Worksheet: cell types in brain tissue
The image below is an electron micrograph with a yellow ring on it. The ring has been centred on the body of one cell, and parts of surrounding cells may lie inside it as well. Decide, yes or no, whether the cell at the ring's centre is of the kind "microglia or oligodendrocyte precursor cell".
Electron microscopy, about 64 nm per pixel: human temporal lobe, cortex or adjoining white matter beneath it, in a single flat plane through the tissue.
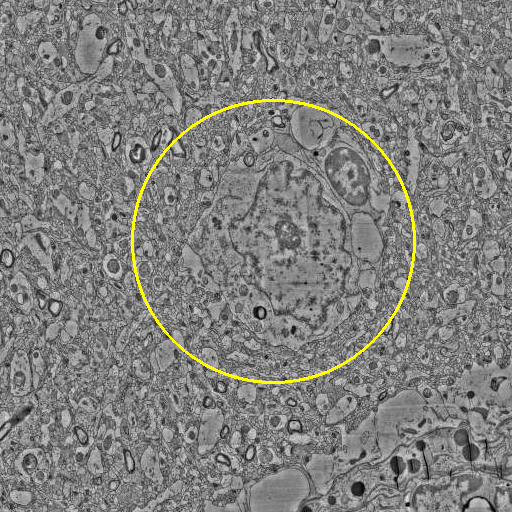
no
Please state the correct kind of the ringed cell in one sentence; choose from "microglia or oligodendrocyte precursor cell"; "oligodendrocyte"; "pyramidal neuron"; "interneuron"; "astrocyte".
The cell that the ring is centred on is an interneuron.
